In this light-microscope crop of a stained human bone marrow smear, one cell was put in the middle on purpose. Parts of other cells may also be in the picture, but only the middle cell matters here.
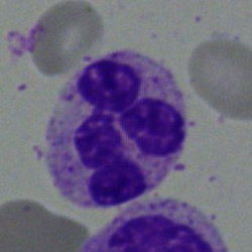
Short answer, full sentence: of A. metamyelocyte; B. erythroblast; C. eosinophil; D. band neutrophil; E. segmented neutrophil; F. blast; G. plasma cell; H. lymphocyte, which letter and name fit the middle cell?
For this crop, option E is right, the centered cell being a segmented neutrophil.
